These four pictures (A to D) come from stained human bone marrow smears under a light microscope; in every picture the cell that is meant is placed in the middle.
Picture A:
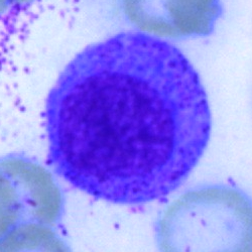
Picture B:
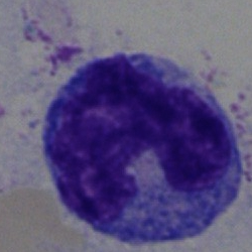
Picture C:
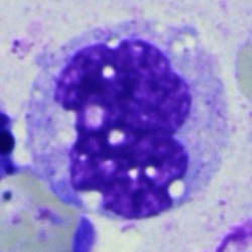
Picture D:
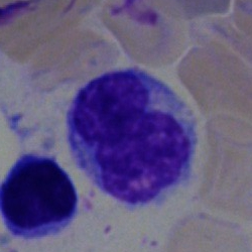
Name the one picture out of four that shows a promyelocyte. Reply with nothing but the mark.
A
